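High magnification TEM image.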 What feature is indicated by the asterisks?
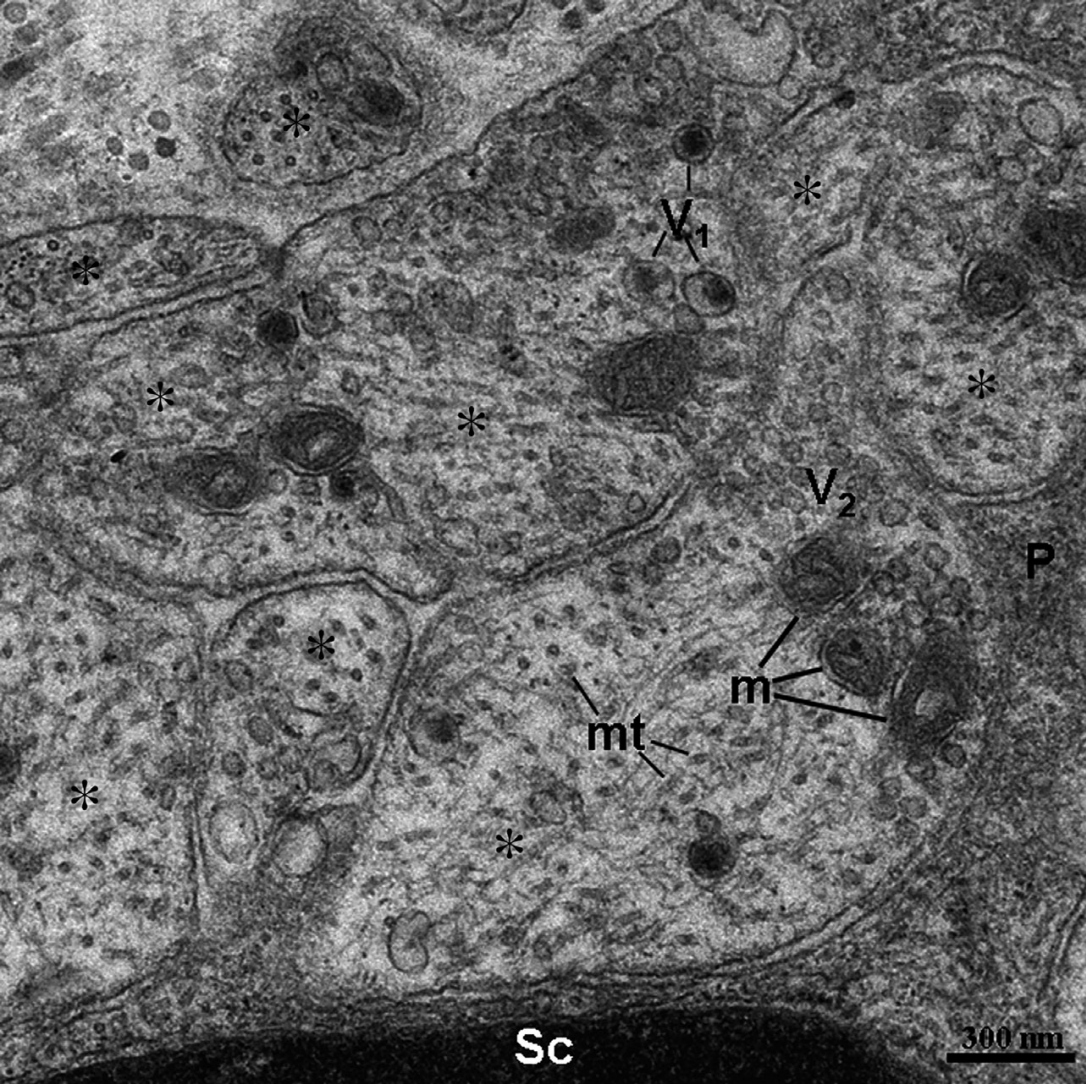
Axon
